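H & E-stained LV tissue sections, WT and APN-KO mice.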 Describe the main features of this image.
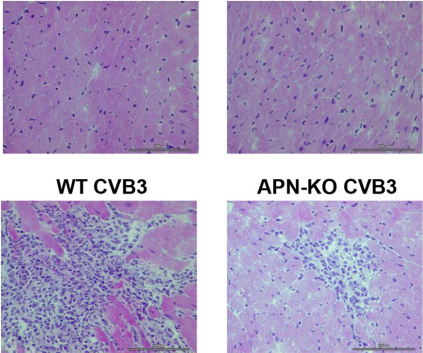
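In the upper two images, the muscle fibres are cut mostly across or obliquely, with pale pink cytoplasm and scattered oval, purple nuclei. Only a few small interstitial nuclei lie between the fibres there. In the lower left image, a dense infiltrate of small cells with dark, round purple nuclei fills the spaces between the fibres, separates them and spreads through much of the field. Muscle fibres next to the infiltrate stain a deeper pink. In the lower right image, a smaller and looser cluster of these dark-nucleated cells lies among otherwise intact-looking muscle fibres.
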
